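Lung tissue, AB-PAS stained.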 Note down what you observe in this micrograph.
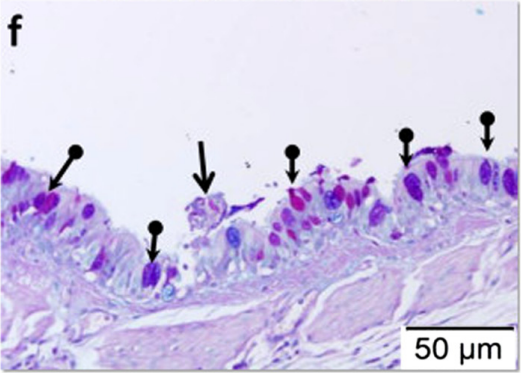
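This is an airway lining of columnar epithelium crowded with goblet cells. The goblet cells are oval and packed with magenta to purple material, some bulging toward the lumen, between paler columnar cells. A small clump of loose material lies detached in the lumen above the surface. Below the epithelium lie loose connective tissue and pale pink muscle bundles.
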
